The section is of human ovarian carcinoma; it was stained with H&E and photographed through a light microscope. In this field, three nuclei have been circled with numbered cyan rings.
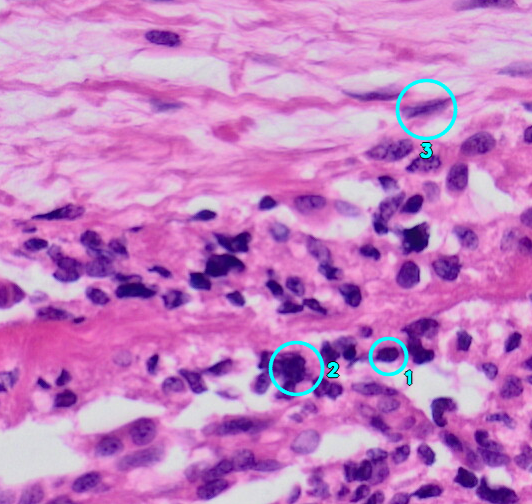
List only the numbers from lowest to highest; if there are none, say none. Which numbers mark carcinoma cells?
1, 2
